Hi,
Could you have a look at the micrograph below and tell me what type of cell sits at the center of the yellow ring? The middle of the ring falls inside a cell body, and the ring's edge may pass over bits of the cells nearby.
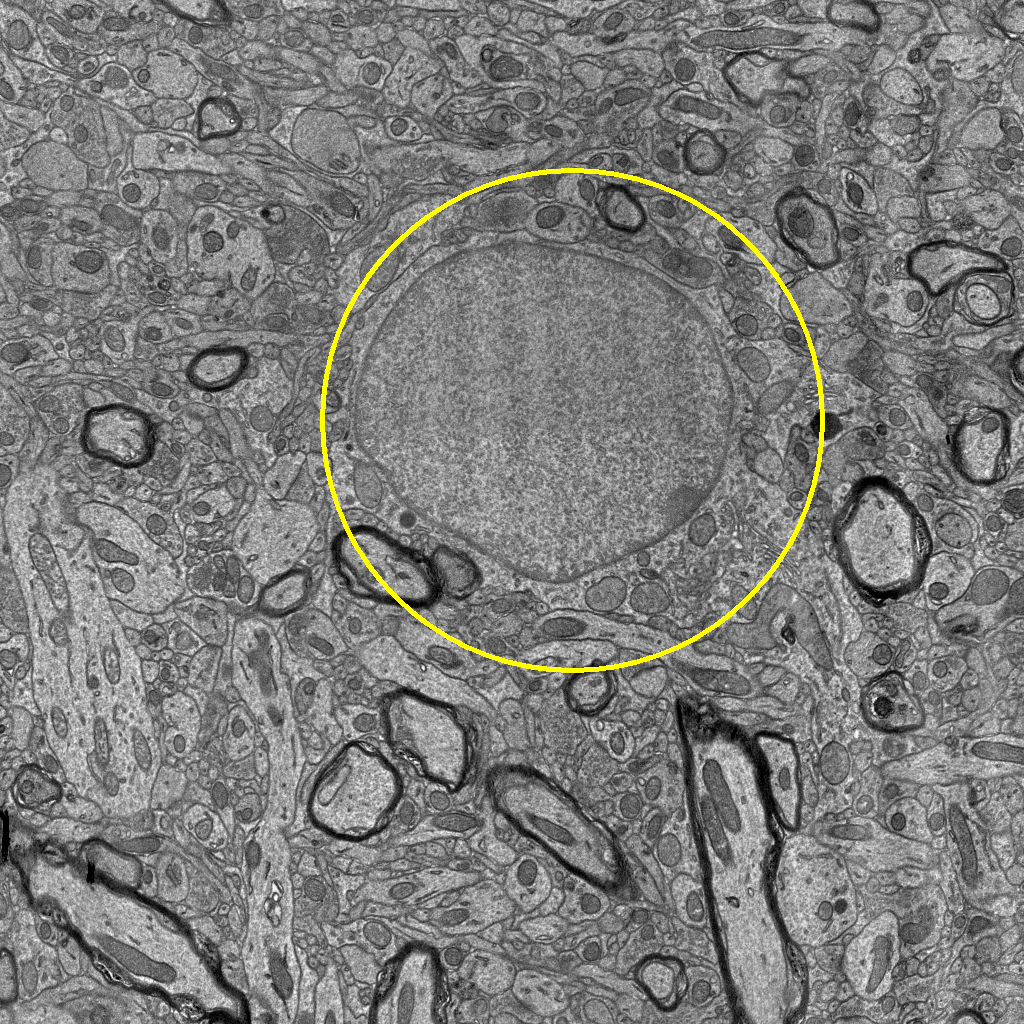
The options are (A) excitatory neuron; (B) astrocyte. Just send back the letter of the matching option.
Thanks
B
